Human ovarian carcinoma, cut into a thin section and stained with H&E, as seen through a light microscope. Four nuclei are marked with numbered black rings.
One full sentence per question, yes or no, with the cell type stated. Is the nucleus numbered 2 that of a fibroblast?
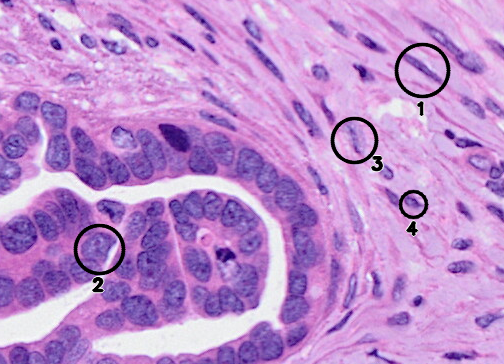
No, the cell carrying number 2 is a carcinoma cell, not a fibroblast.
